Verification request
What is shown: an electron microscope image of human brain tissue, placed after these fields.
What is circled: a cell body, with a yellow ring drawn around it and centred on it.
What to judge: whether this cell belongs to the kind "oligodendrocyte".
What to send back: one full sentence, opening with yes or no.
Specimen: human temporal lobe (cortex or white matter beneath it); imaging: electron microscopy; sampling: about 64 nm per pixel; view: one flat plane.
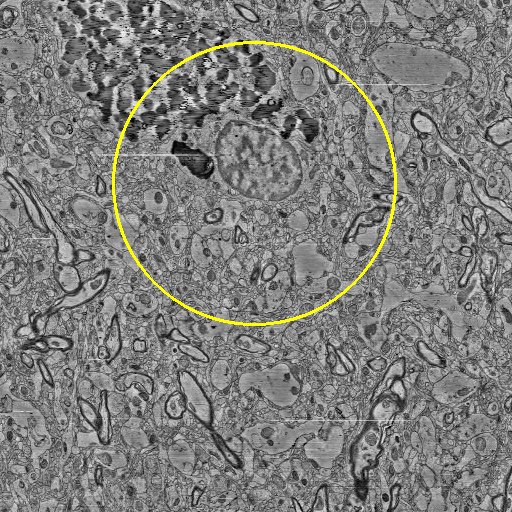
Yes, the cell on which the yellow ring is centred in the picture is of that kind.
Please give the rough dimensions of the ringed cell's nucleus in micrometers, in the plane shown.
Approximately 6 by 5 micrometers in this plane.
